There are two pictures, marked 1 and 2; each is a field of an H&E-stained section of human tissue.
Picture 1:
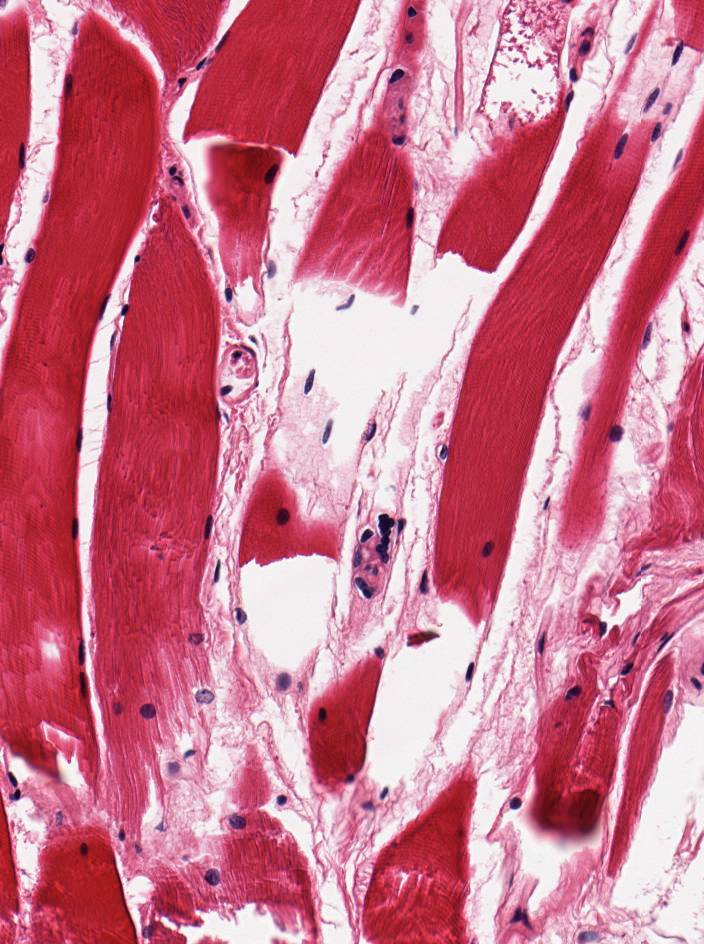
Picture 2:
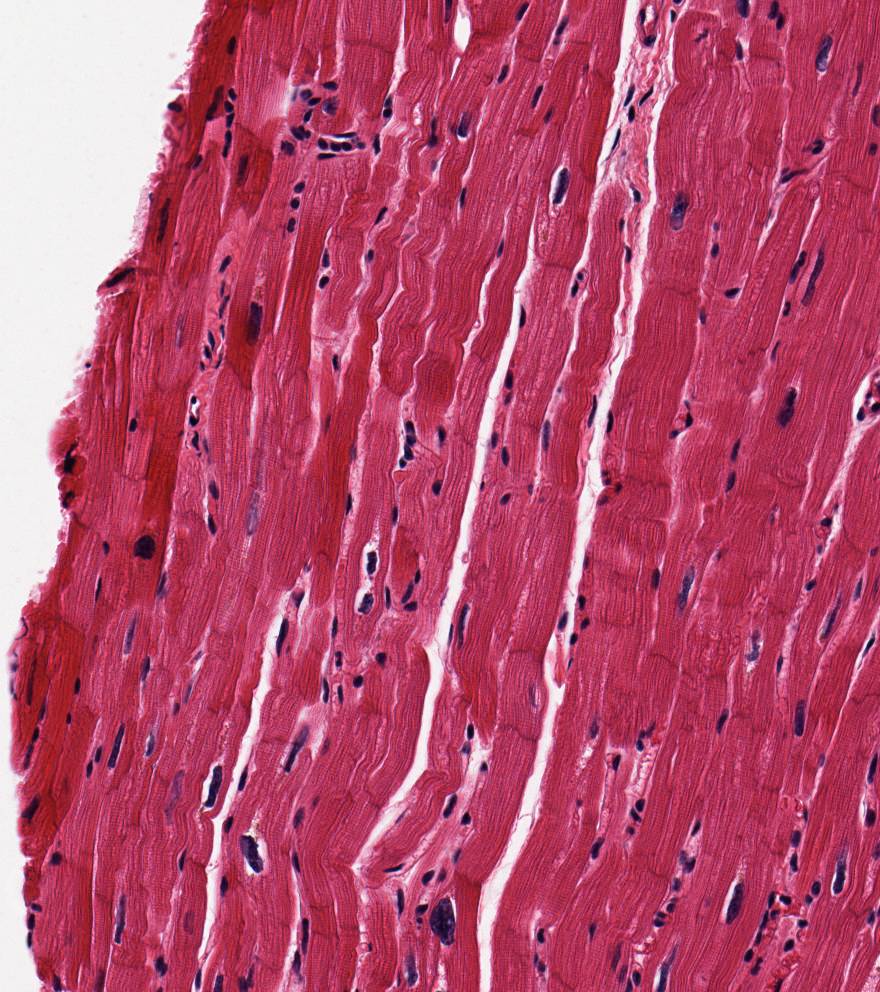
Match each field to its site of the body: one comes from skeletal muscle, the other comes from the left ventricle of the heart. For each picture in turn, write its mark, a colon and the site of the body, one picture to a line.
1: skeletal muscle
2: left ventricle of the heart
